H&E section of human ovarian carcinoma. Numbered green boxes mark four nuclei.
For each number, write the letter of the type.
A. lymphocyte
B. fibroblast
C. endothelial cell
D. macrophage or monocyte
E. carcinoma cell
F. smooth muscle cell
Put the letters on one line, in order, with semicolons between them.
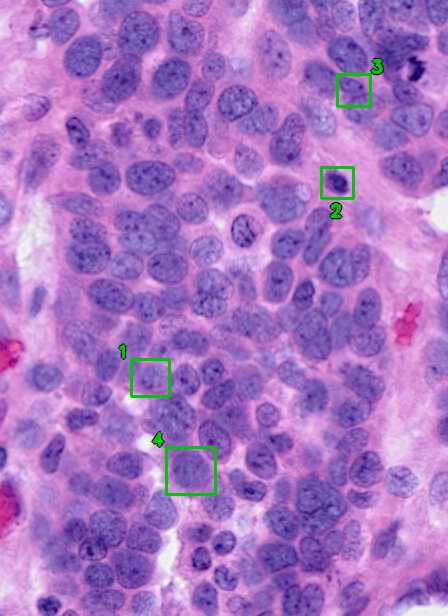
E; A; E; E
